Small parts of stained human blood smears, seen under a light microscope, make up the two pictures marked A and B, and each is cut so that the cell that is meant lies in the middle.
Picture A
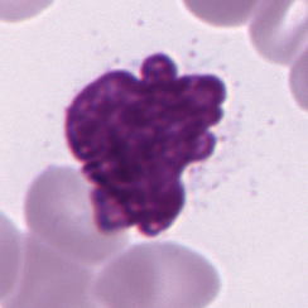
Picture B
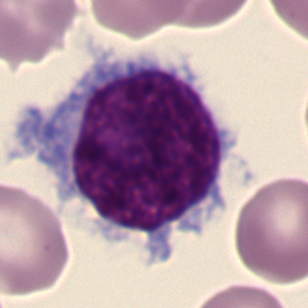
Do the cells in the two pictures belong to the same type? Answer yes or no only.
no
